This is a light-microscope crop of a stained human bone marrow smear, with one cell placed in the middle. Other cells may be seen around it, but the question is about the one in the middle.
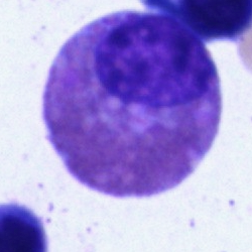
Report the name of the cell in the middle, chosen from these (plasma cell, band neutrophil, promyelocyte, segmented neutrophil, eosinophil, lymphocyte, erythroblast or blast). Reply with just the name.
eosinophil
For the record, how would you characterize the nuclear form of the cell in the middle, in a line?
The nucleus amounts to one compact mass with a round, oval or kidney-shaped outline.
